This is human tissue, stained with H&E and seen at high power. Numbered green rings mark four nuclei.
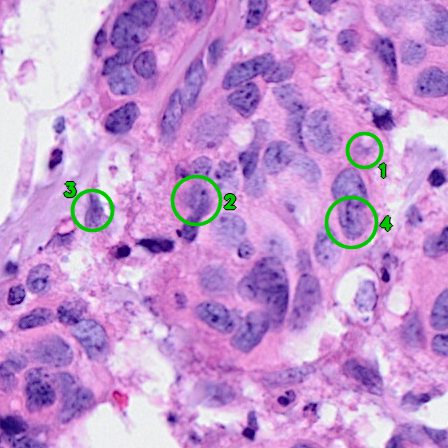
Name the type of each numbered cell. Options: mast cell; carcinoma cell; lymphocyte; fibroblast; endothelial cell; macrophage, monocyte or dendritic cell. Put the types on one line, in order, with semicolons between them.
carcinoma cell; carcinoma cell; fibroblast; carcinoma cell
